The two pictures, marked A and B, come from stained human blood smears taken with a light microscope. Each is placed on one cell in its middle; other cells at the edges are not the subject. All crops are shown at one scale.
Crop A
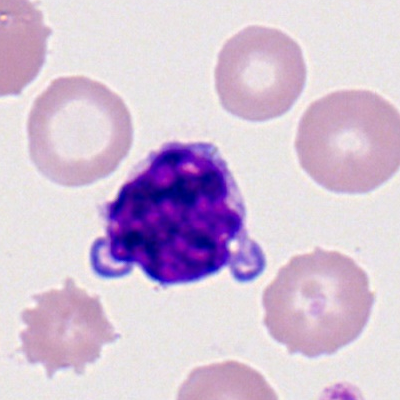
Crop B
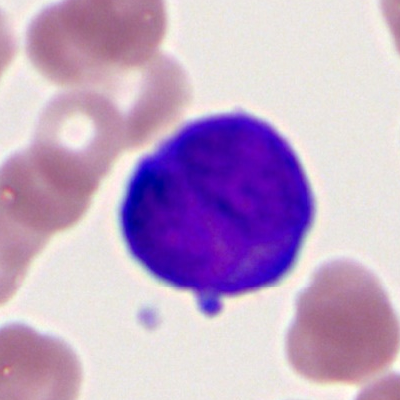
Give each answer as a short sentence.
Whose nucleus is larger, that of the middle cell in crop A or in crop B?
It is the nucleus in crop B, about 2 times as large in area as the one in crop A.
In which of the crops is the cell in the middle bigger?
Crop B holds the larger cell; it covers about 1.5 times the area of the cell in crop A.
